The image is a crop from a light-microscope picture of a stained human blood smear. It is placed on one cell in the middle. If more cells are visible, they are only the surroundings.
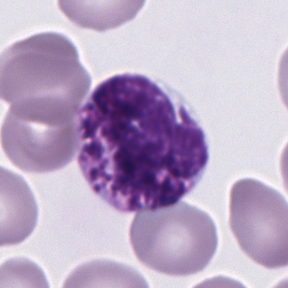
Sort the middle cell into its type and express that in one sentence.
In this crop, the cell at the very middle is a basophil.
